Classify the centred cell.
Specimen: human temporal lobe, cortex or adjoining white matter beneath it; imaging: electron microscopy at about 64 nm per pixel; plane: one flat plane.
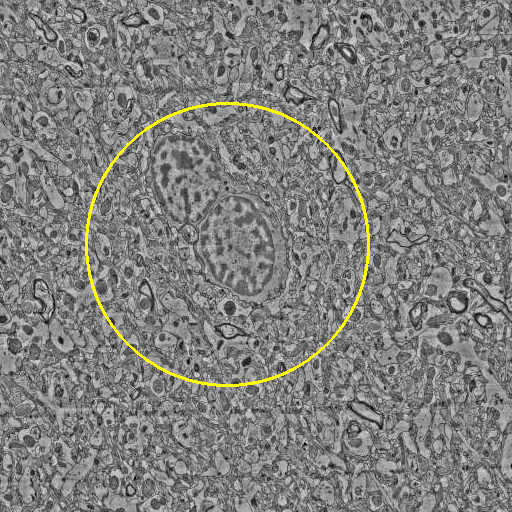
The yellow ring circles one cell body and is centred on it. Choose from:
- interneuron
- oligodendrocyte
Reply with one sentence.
The ring is centred on an oligodendrocyte.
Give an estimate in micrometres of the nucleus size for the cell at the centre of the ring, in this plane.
About 6 by 4 micrometres in this plane.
